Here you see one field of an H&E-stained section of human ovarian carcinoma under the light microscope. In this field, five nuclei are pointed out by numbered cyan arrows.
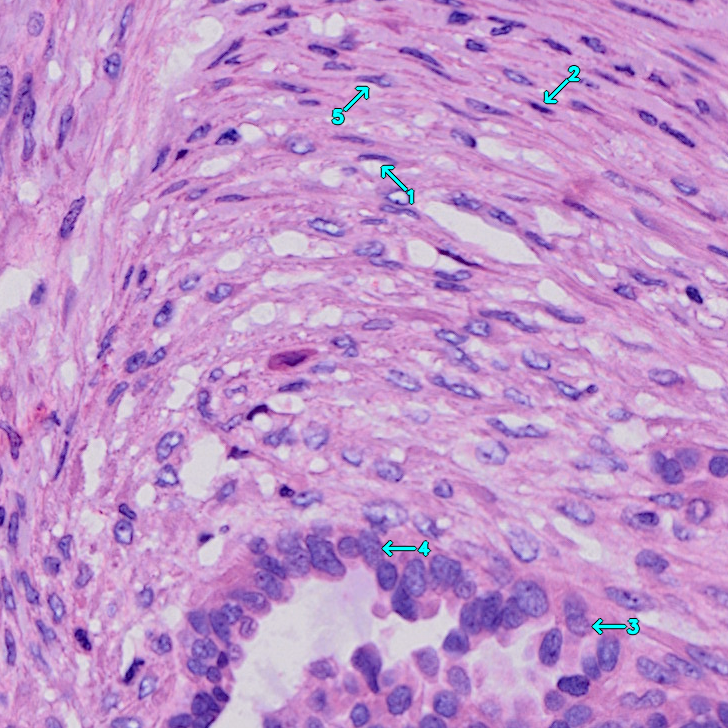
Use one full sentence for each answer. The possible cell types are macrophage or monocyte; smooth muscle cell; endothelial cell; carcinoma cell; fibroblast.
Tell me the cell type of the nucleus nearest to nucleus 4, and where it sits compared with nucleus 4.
A carcinoma cell lies closest, to the left of nucleus 4.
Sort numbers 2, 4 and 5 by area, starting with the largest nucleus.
Going from the biggest nucleus down to the smallest gives 4, 5, 2.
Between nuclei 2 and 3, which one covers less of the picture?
Number 2 is smaller, since number 3 takes up about 2.5 times as much area.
